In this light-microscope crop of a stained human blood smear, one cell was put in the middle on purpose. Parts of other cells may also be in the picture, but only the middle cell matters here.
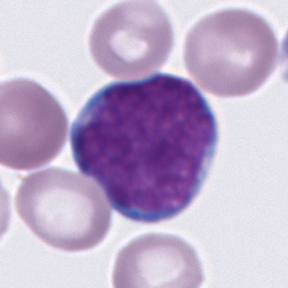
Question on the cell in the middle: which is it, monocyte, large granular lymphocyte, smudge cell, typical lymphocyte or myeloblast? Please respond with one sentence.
Standing at the centre of this crop is a myeloblast.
